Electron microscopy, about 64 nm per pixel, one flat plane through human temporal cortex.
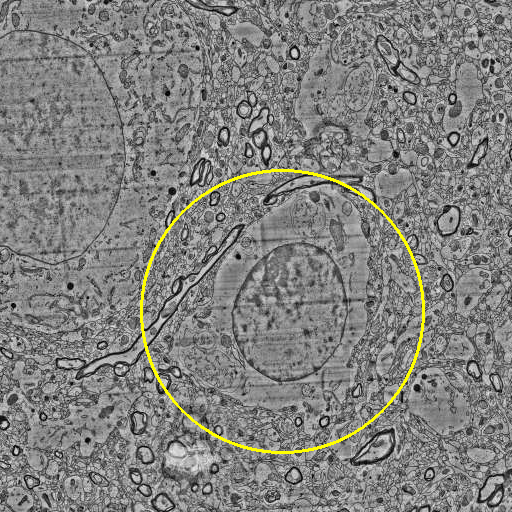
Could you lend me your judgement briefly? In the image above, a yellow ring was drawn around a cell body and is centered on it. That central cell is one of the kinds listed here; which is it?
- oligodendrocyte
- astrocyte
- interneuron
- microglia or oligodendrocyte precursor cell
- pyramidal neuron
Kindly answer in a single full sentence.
Going by the list, an astrocyte is the kind at the ring's center in the picture.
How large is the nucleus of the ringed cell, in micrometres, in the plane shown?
In this plane, the nucleus is roughly 9 by 7 micrometres.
